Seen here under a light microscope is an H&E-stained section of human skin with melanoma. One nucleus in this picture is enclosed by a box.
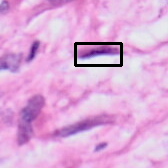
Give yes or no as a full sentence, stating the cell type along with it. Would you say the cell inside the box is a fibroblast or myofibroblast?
Yes, to put it simply, the cell inside the box is a fibroblast or myofibroblast.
